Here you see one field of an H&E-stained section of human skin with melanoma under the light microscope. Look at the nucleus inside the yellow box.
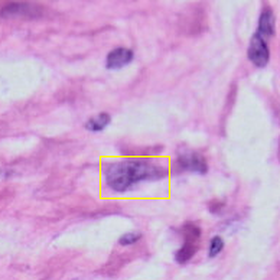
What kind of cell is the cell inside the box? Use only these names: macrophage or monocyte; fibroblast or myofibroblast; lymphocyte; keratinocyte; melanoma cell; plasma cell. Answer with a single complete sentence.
In the context of this tissue, the cell inside the box is a fibroblast or myofibroblast.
